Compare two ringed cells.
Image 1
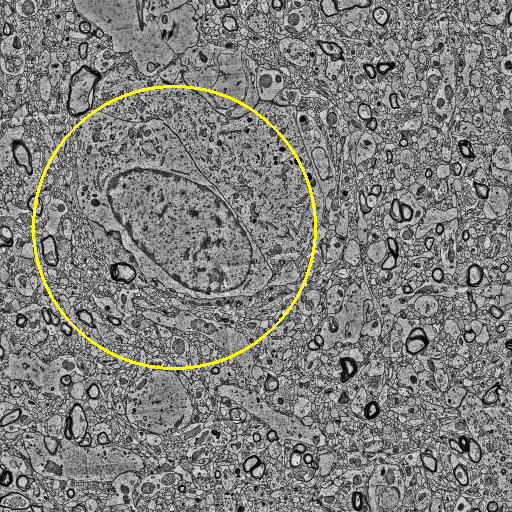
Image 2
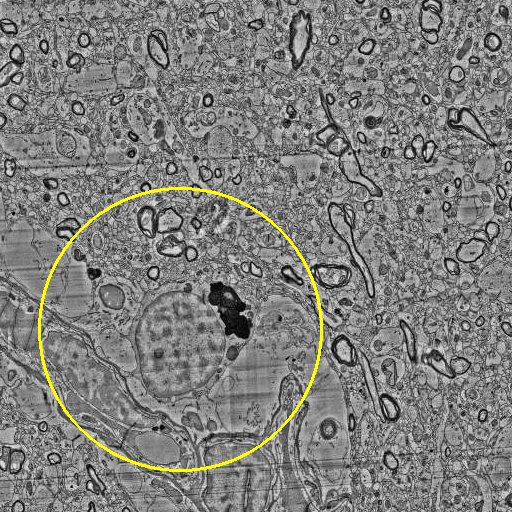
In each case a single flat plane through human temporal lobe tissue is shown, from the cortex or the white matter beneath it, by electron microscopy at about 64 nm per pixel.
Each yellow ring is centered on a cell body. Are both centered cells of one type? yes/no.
no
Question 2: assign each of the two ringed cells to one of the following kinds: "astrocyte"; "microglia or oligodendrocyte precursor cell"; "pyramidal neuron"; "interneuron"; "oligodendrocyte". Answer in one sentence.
The two cells are a microglial cell or oligodendrocyte precursor cell in the first picture and an oligodendrocyte in the second.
